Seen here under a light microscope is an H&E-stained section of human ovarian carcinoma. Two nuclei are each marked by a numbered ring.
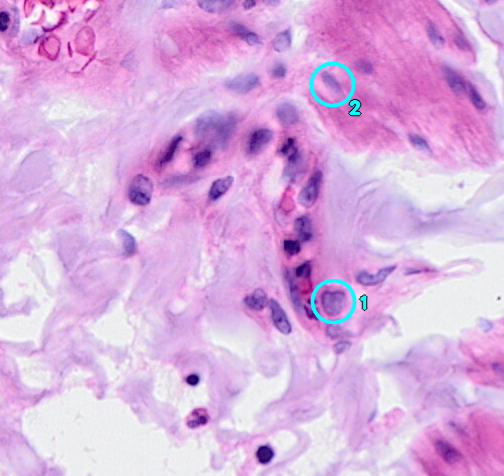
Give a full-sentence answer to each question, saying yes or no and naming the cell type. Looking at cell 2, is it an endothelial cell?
No, number 2 marks a smooth muscle cell rather than an endothelial cell.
